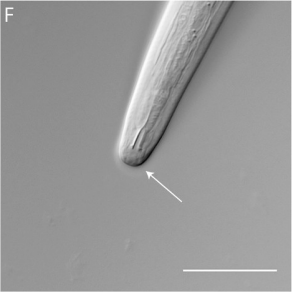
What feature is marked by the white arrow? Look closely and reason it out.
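The arrow points at the very tip of a rounded anterior end of the worm. The tip shows a small refractile cap closing the front end.
Conclusion: buccal plug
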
